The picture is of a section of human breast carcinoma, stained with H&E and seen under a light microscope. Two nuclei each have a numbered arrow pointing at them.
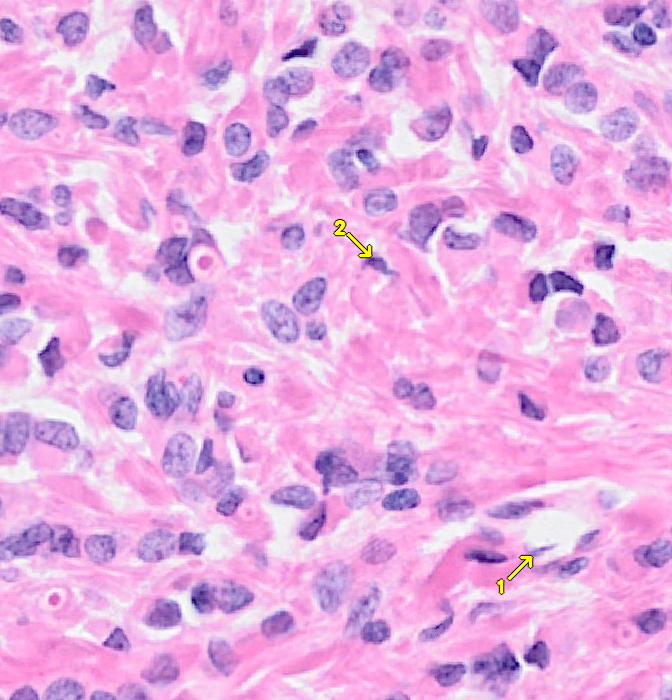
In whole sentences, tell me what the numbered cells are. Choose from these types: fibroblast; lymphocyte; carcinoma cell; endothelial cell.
Cell 1 is an endothelial cell and cell 2 is a fibroblast.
